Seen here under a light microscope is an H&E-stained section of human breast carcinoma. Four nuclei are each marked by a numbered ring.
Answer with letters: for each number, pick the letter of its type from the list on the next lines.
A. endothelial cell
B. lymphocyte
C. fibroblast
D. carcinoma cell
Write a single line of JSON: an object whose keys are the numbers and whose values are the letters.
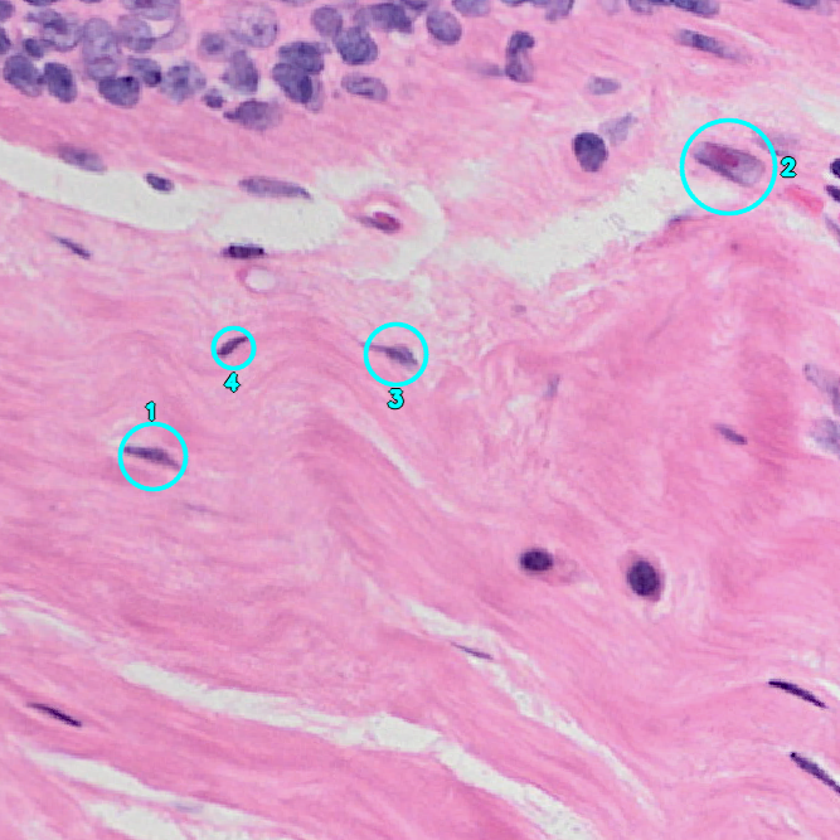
{"1": "C", "2": "A", "3": "C", "4": "C"}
